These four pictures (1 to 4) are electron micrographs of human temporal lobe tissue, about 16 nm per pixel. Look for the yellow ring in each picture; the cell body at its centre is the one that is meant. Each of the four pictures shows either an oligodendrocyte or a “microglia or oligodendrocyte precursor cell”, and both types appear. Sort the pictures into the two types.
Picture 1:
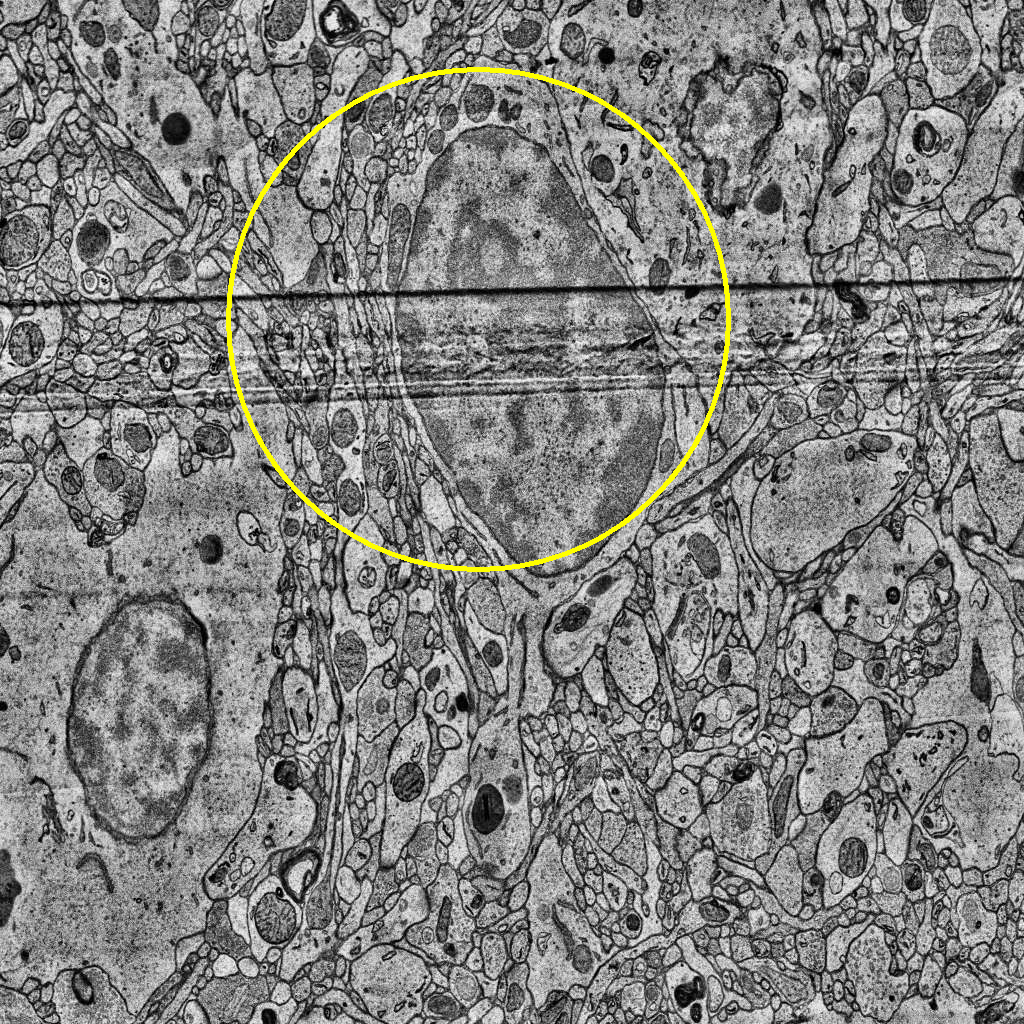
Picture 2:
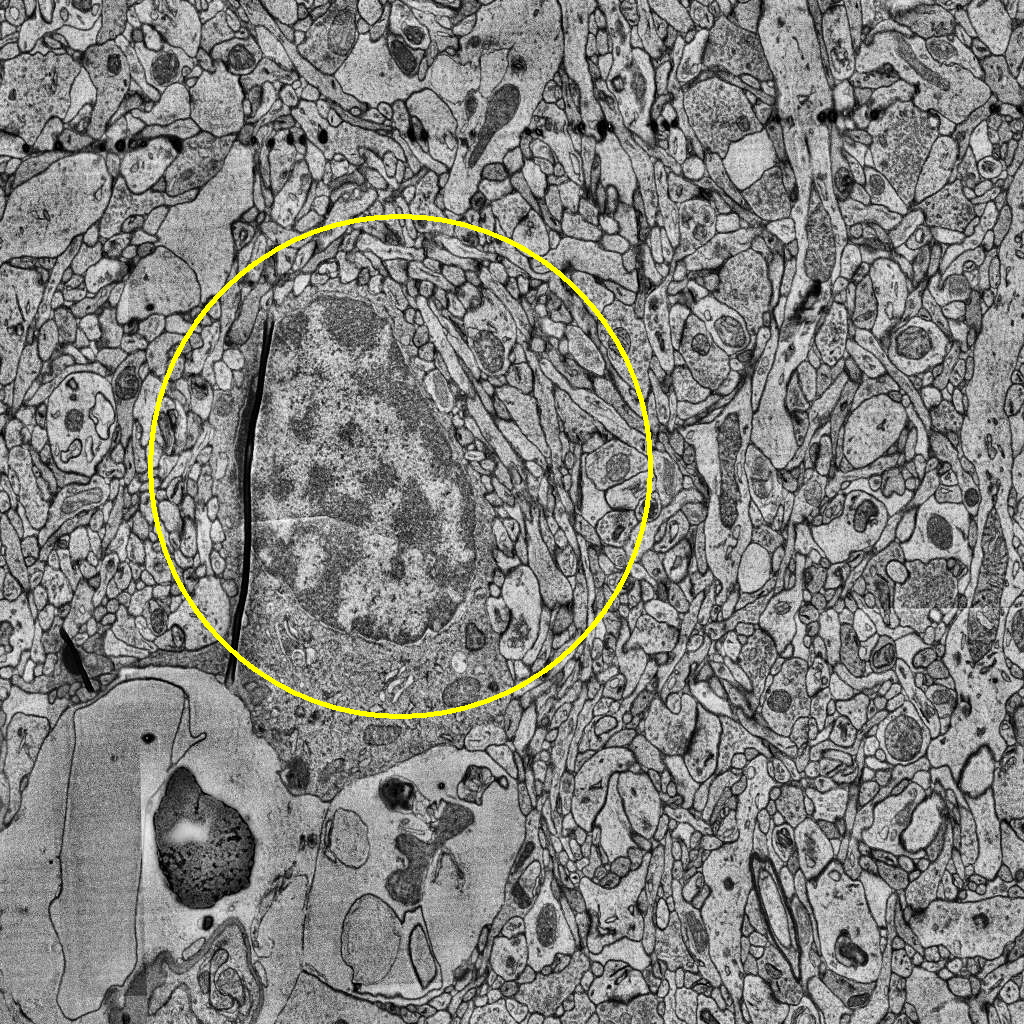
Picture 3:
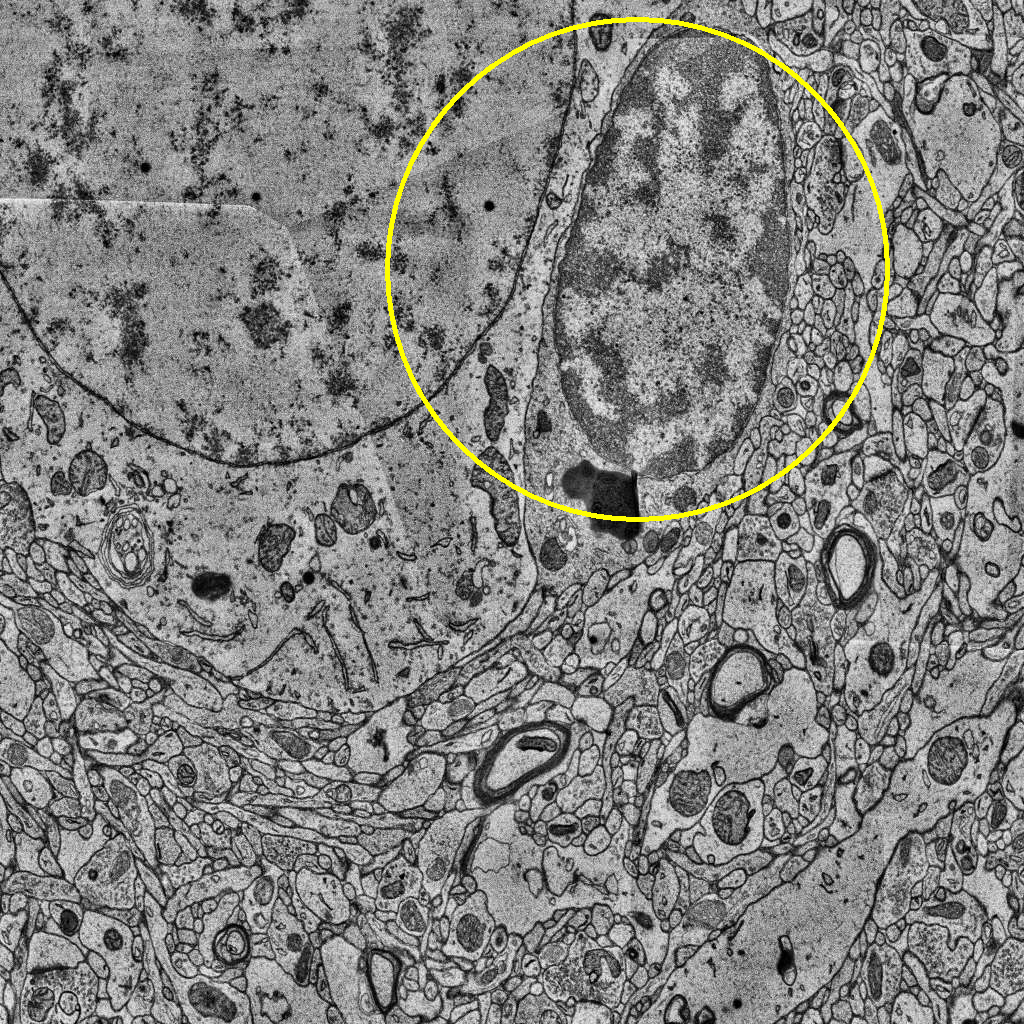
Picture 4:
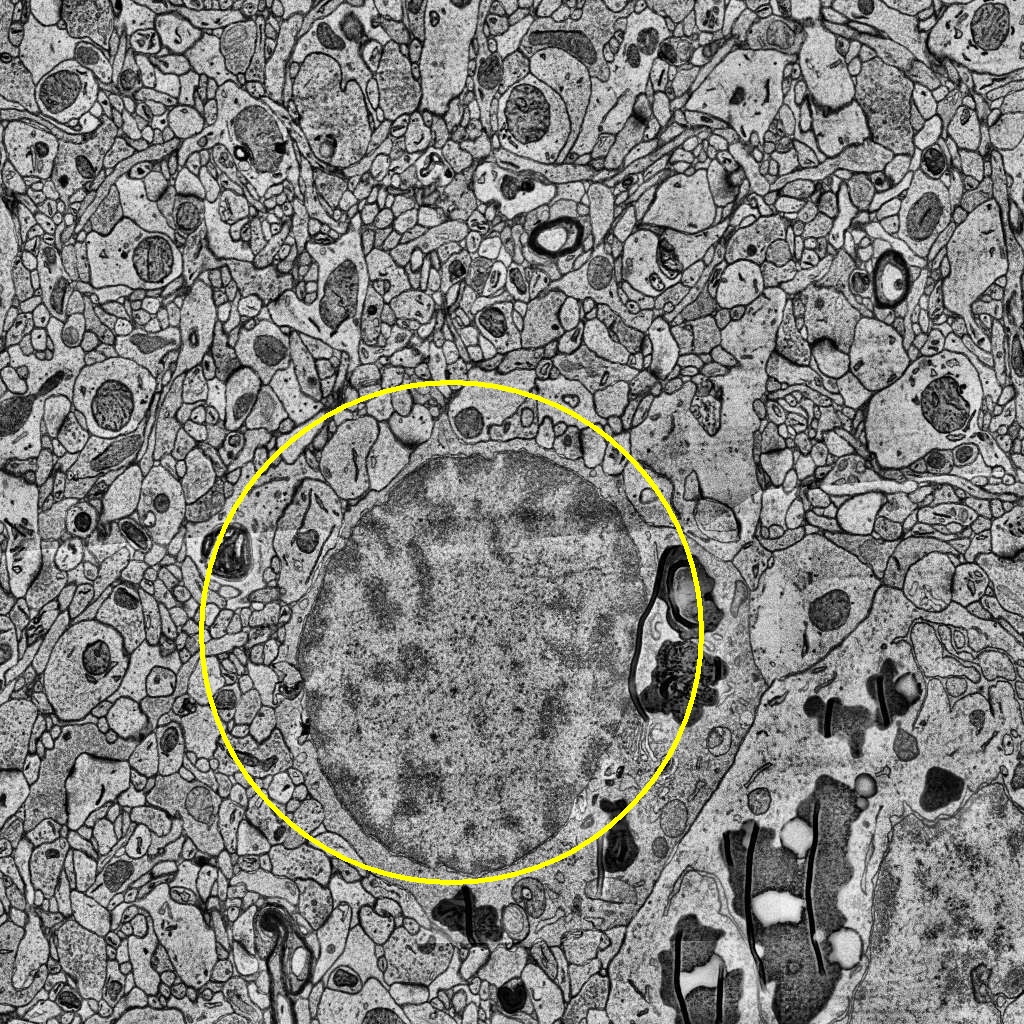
Pictures 2, 3 and 4 show oligodendrocytes, while picture 1 shows a “microglia or oligodendrocyte precursor cell”.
